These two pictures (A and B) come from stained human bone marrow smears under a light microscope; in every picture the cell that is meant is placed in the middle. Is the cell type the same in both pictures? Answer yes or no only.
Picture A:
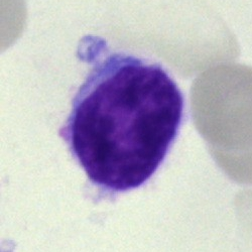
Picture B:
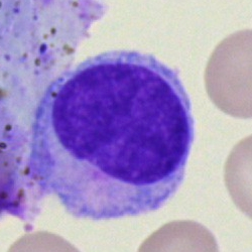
yes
